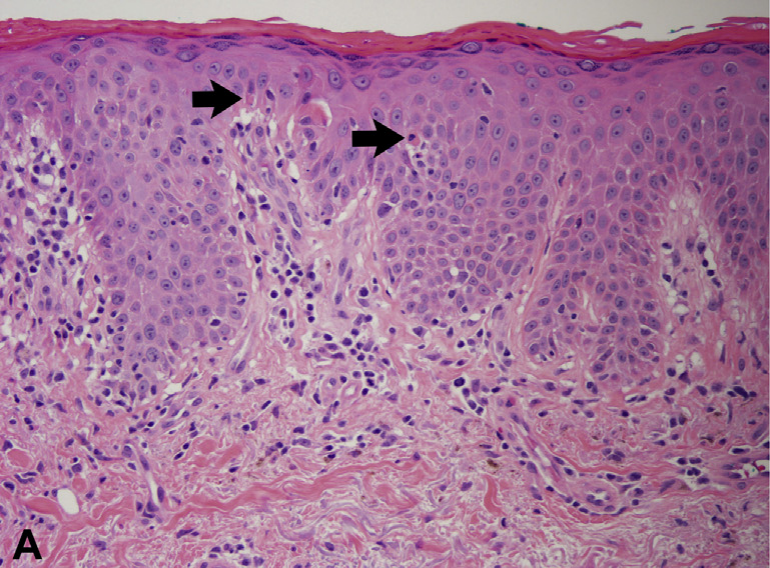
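This is skin, with epidermis of pink keratinocytes over a dermis of pink collagen. Small round dark lymphocytes gather in the upper dermis along the junction with the epidermis, especially between the rete ridges. A few scattered keratinocytes within the epidermis look shrunken and dark, and are taken to be dying by apoptosis. The surface is covered by a thin compact pink layer of keratin.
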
